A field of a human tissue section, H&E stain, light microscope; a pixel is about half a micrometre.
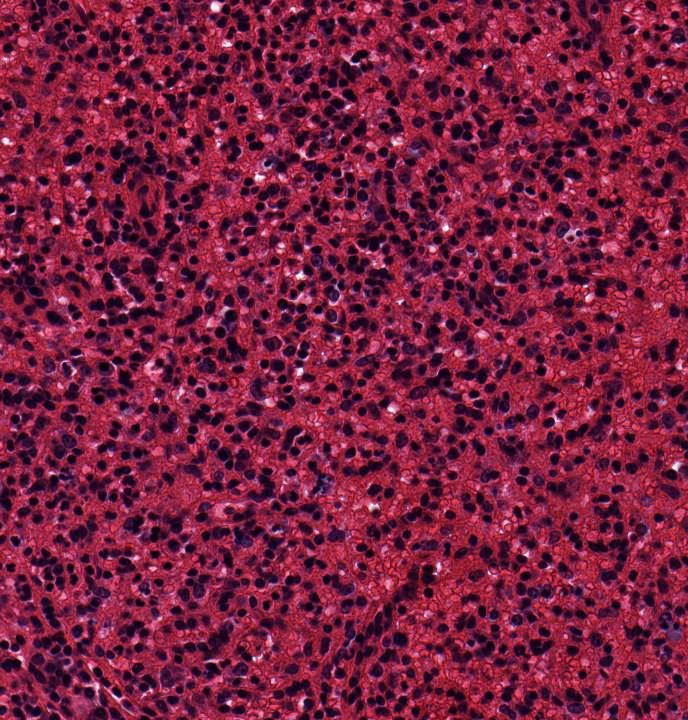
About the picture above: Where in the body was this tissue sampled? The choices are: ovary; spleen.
spleen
